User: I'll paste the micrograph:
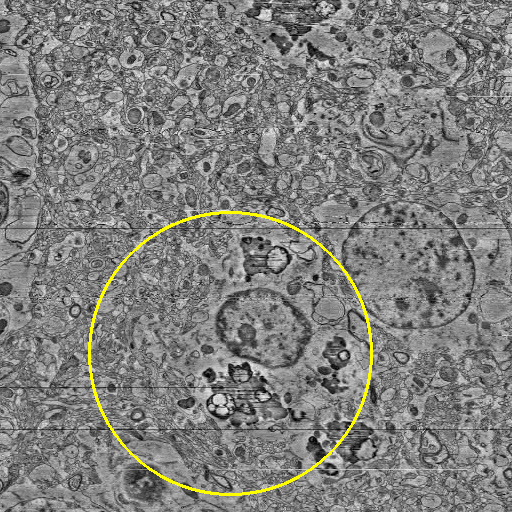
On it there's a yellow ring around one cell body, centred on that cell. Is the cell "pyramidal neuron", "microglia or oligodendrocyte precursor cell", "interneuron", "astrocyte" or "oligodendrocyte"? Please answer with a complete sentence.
The cell ringed in yellow is an astrocyte.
